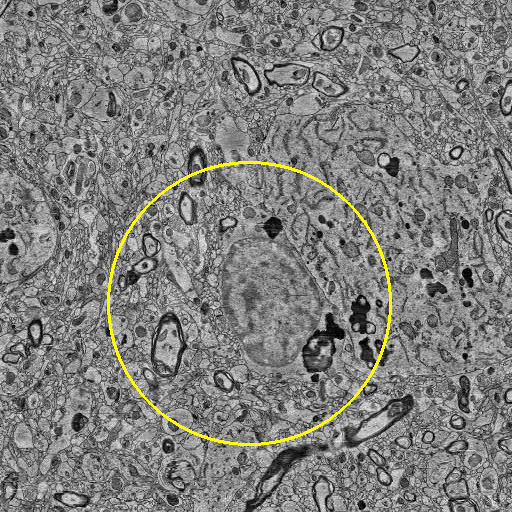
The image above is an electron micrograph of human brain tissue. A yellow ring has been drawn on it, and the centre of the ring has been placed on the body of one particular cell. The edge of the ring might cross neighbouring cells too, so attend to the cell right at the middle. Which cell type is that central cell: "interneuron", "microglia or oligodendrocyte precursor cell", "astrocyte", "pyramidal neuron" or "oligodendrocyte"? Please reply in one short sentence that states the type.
The central cell in the ring is an oligodendrocyte.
